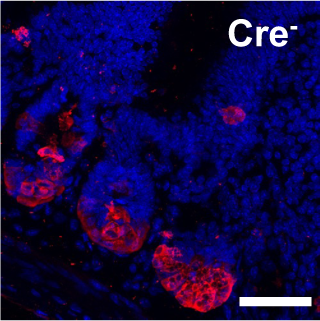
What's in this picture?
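Small intestinal crypts cut across and lengthwise, with blue nuclei throughout and several groups of cells at the crypt bases whose cytoplasm is packed with bright red granules. These granule-laden cells at the bottom of the crypts are Paneth cells, set among unstained epithelial cells.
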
